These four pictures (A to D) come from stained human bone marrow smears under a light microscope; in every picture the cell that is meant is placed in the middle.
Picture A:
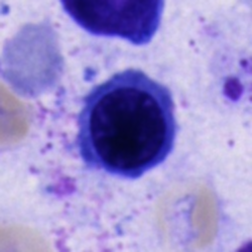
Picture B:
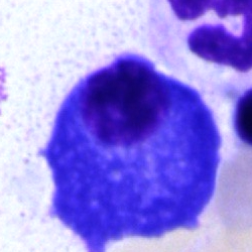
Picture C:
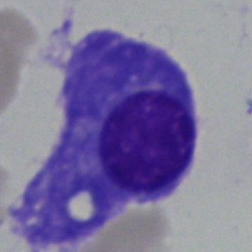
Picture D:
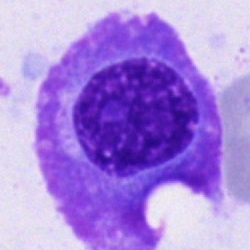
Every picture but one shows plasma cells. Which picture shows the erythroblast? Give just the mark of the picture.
A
